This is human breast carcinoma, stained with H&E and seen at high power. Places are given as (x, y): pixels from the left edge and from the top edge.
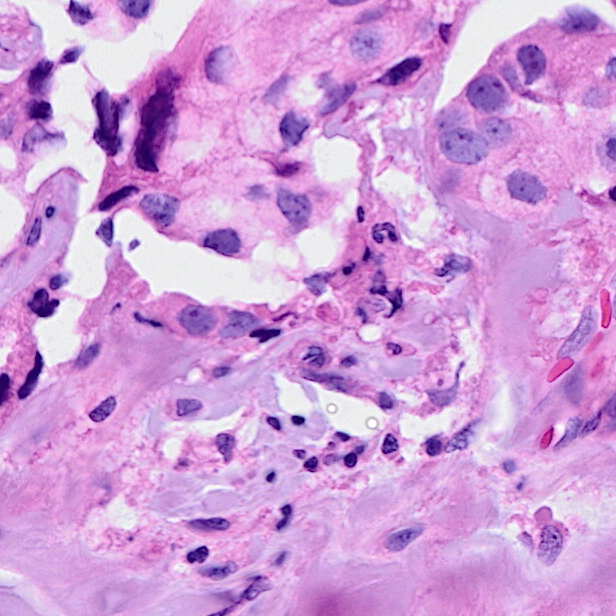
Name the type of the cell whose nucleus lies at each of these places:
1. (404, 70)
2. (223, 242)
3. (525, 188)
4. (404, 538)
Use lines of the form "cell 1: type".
cell 1: carcinoma cell
cell 2: carcinoma cell
cell 3: carcinoma cell
cell 4: fibroblast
